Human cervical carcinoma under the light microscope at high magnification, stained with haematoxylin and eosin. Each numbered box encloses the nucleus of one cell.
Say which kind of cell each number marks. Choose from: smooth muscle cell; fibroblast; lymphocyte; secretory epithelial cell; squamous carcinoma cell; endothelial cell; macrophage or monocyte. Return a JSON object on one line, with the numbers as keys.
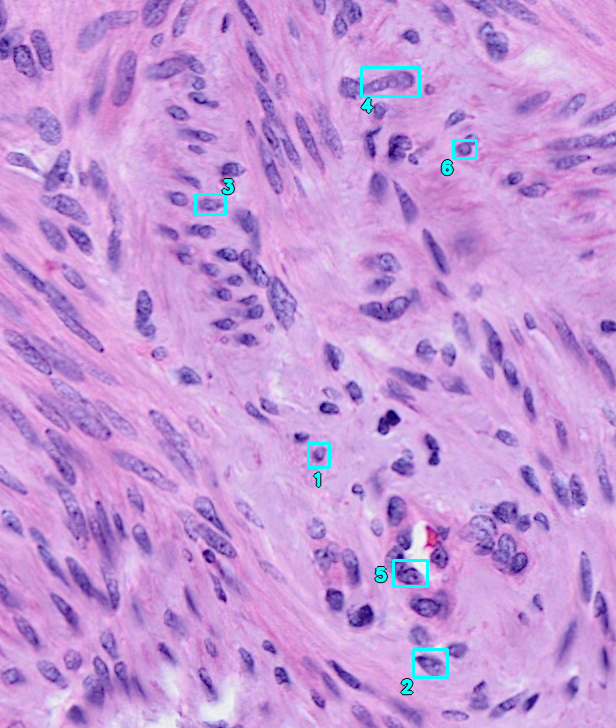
{"1": "smooth muscle cell", "2": "fibroblast", "3": "smooth muscle cell", "4": "smooth muscle cell", "5": "endothelial cell", "6": "smooth muscle cell"}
